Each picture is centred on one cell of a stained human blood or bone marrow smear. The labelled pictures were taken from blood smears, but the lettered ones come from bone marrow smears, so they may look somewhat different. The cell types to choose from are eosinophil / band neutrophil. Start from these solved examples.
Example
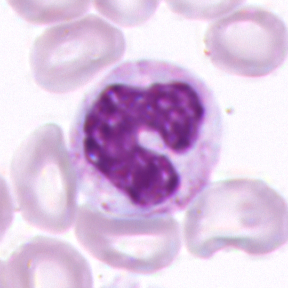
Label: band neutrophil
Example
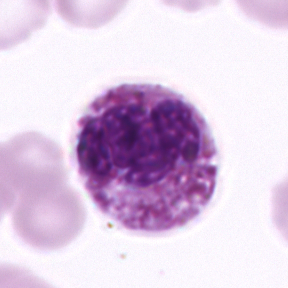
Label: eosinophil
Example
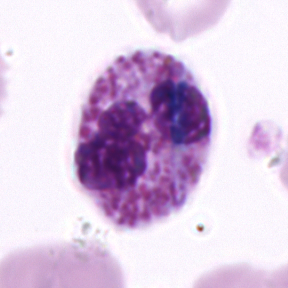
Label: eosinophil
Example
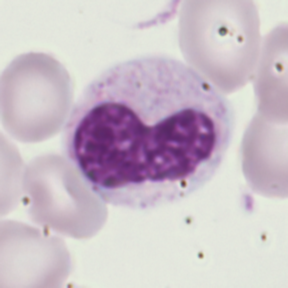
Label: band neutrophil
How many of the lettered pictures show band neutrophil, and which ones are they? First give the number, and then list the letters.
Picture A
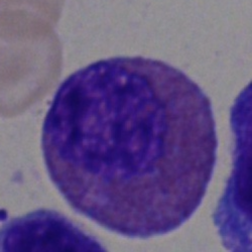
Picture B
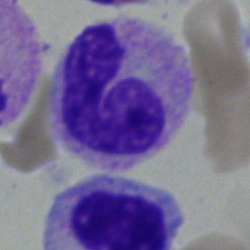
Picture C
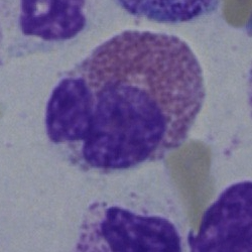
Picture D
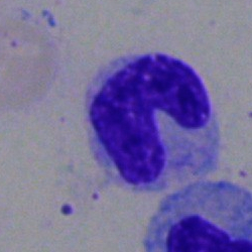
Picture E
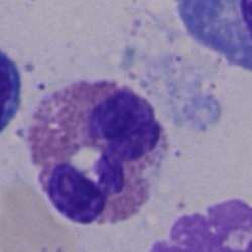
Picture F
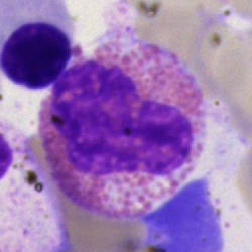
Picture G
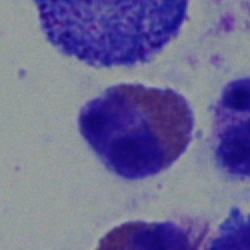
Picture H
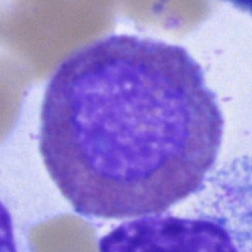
Count: 2 (B, D)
